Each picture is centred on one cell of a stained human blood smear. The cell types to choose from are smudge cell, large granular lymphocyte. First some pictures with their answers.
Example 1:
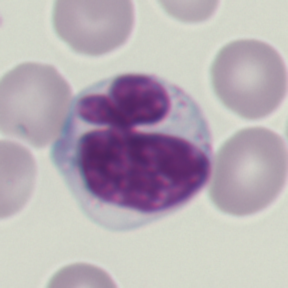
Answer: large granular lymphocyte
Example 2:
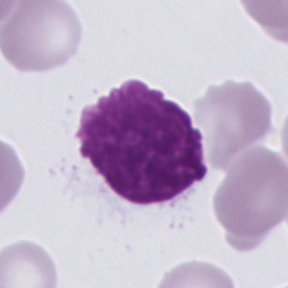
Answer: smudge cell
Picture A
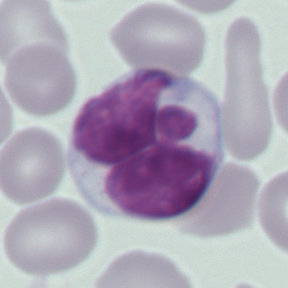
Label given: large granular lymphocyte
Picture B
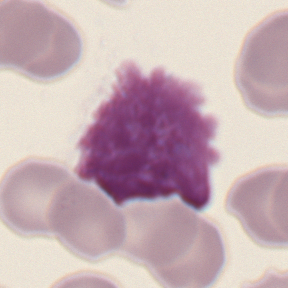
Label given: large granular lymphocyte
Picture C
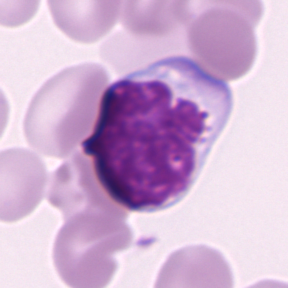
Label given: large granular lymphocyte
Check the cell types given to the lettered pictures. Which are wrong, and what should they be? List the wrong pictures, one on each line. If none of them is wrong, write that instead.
Wrong: B (large granular lymphocyte); correct: smudge cell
